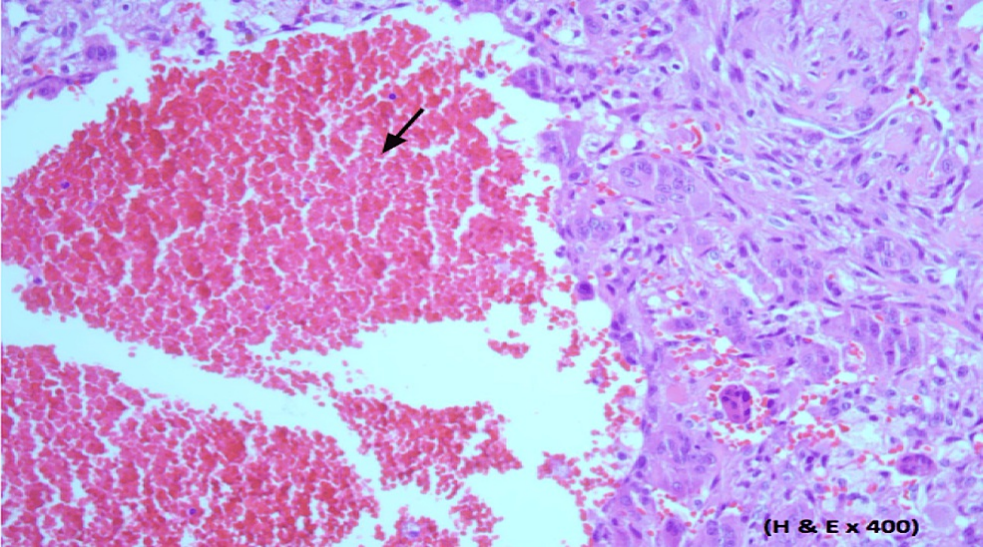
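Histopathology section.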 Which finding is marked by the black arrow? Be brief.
hemorrhage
